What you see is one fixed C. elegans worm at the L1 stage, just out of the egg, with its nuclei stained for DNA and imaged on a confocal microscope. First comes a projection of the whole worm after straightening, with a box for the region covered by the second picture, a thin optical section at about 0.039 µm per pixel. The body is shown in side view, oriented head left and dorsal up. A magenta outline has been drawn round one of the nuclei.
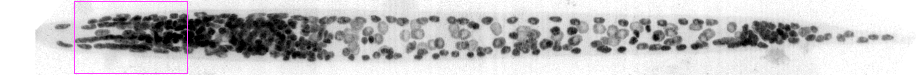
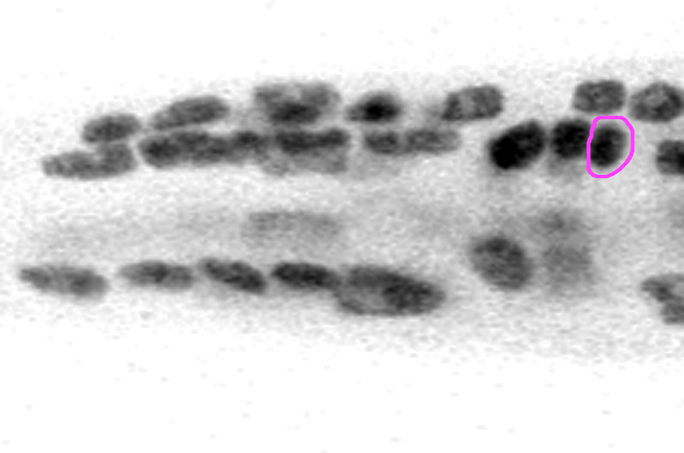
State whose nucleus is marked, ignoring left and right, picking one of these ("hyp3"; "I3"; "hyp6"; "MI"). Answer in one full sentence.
The marked cell is I3, a neuron.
